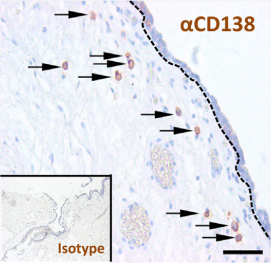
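A thin epithelium runs along the right edge, marked off by a dashed line and stained only pale blue. Beneath it lies loose, pale connective tissue with a few blue spindle-shaped nuclei and some round vessels. Dotted through this stroma, often just under the epithelium, are small round cells whose rim of cytoplasm takes up the brown stain around a blue nucleus; arrows point to them. They lie singly or in small loose clusters rather than forming any layer.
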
